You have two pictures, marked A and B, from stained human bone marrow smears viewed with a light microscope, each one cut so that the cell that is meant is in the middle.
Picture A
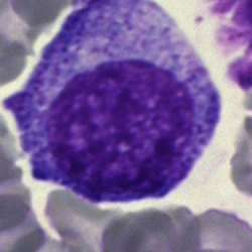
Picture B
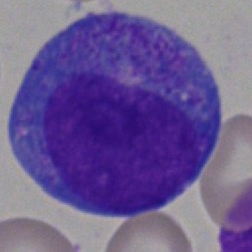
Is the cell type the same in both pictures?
yes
